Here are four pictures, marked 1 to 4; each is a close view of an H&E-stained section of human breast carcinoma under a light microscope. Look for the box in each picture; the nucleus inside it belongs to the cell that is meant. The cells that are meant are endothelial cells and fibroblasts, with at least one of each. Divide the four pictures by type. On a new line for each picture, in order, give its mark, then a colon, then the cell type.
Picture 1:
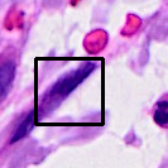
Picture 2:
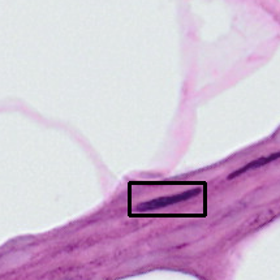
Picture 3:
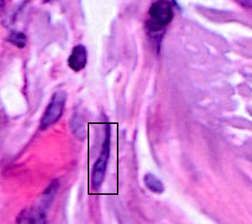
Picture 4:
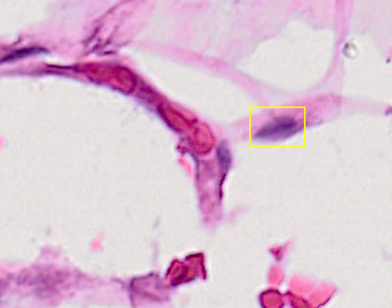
1: fibroblast
2: fibroblast
3: fibroblast
4: endothelial cell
